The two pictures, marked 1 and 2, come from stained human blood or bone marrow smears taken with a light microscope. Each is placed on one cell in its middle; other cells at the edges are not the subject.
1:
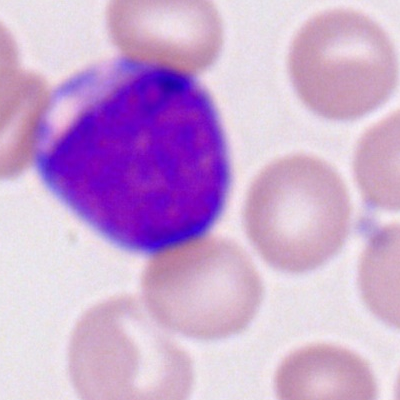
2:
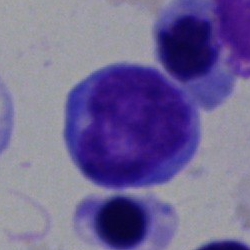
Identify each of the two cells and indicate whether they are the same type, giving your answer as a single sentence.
Yes, both of the crops show blasts.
